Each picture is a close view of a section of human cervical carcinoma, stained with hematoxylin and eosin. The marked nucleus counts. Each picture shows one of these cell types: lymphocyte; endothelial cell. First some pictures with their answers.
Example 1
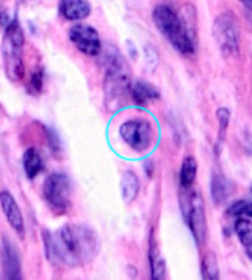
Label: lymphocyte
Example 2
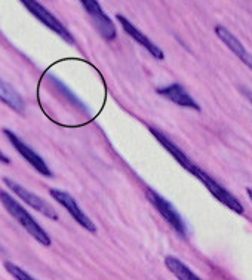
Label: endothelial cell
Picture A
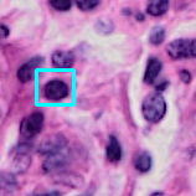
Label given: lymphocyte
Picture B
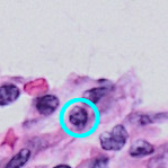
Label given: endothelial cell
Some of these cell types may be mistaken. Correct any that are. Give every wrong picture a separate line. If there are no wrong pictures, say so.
B: lymphocyte, not endothelial cell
